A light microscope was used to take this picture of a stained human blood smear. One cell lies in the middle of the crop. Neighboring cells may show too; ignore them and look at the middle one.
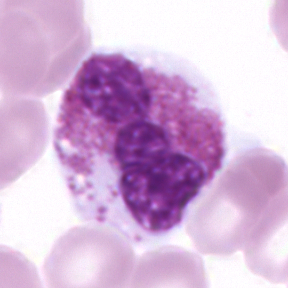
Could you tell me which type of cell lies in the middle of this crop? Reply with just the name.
eosinophil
